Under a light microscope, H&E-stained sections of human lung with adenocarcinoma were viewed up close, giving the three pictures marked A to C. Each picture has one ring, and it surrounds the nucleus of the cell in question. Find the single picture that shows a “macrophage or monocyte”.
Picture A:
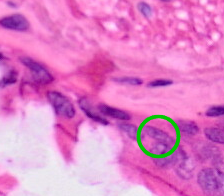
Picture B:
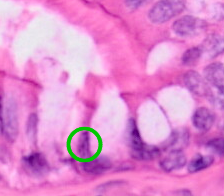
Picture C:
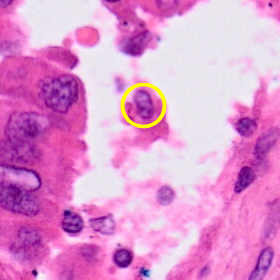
C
